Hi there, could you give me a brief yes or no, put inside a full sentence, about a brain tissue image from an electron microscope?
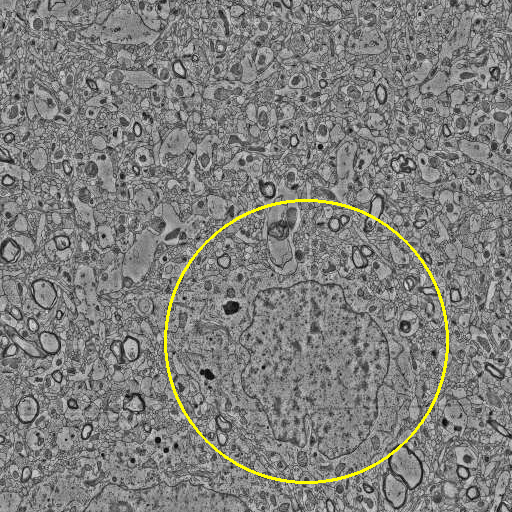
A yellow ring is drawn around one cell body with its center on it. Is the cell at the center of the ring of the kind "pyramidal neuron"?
Yes, the cell found at the center of the yellow ring is of that kind.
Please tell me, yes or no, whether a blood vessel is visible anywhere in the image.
No, no vessel appears in the picture.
